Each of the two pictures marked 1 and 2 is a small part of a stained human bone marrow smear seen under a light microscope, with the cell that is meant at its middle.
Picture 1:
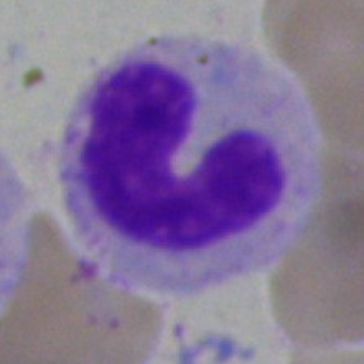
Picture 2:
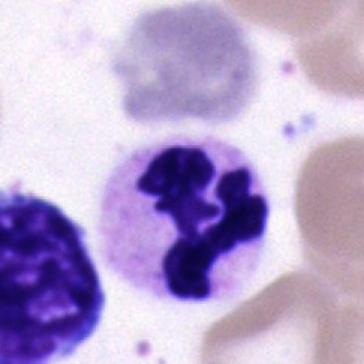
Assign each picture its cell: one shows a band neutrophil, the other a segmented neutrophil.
1: band neutrophil
2: segmented neutrophil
